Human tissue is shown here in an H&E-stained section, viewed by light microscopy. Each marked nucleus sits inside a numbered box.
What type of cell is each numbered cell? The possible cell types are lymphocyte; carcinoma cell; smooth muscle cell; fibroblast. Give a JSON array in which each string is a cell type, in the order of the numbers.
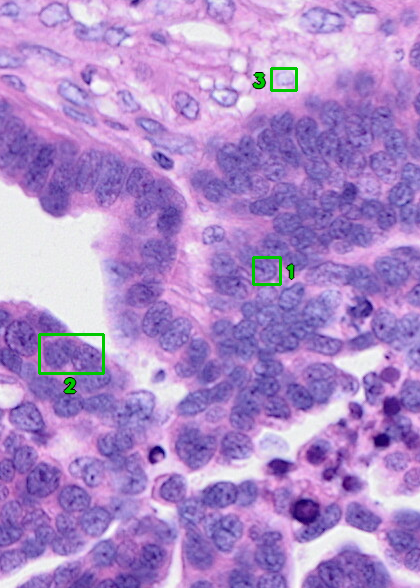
["carcinoma cell", "carcinoma cell", "fibroblast"]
